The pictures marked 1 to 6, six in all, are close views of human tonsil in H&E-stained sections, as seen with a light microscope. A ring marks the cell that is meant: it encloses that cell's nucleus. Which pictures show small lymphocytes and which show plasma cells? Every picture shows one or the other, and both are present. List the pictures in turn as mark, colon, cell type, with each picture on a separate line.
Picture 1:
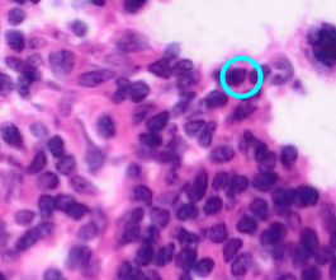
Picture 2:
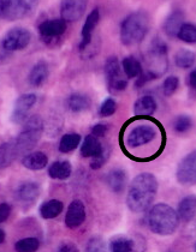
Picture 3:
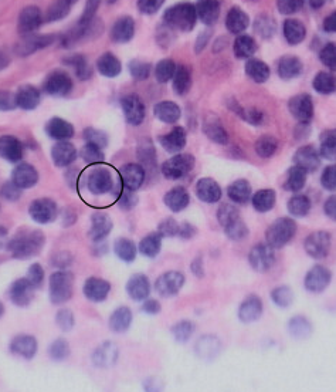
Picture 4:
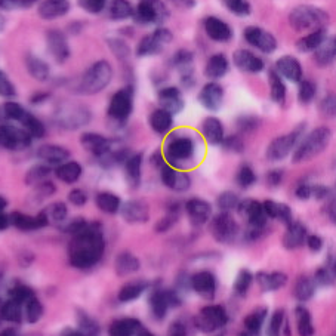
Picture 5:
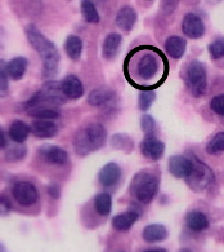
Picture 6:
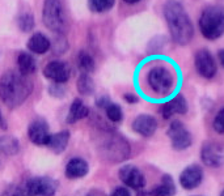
1: small lymphocyte
2: plasma cell
3: small lymphocyte
4: small lymphocyte
5: plasma cell
6: plasma cell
